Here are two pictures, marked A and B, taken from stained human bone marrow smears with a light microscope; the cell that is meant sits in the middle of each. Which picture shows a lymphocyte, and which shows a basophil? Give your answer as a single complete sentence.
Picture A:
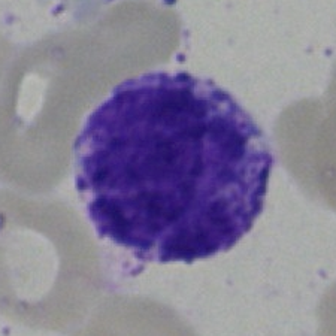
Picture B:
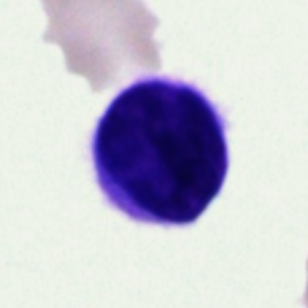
The cell in picture A is a basophil, and the one in picture B is a lymphocyte.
